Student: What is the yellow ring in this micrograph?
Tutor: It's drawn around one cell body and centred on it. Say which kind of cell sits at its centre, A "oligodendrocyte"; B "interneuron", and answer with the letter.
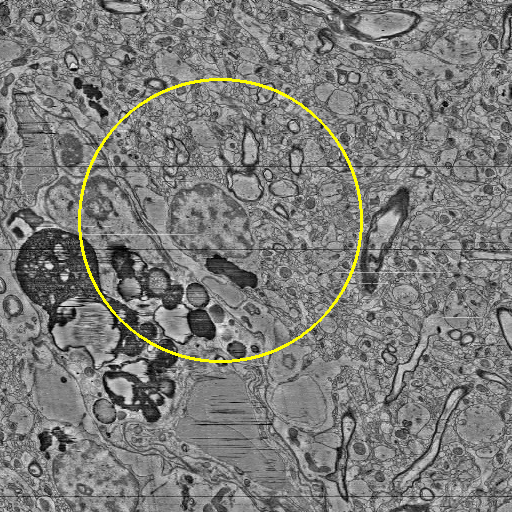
A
